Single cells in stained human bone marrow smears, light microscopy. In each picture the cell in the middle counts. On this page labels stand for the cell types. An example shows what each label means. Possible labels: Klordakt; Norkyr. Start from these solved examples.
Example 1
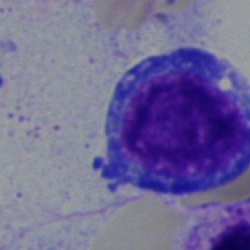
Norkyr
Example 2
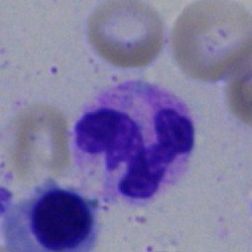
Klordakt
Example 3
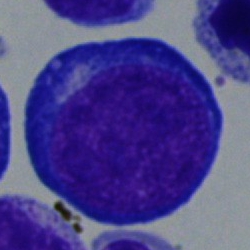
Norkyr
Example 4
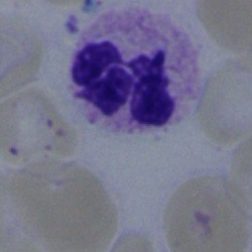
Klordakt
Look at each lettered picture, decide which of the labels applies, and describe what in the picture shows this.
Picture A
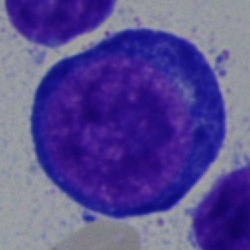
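Norkyr. The nucleus fills most of the cell, leaving a narrow rim of cytoplasm.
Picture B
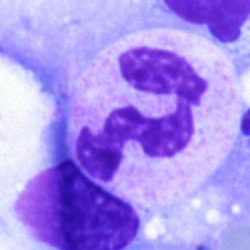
Klordakt. The nucleus is one long band bent into an S-like curve.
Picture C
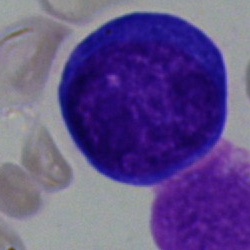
Norkyr. The chromatin is fine-grained rather than gathered into coarse dark blocks.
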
